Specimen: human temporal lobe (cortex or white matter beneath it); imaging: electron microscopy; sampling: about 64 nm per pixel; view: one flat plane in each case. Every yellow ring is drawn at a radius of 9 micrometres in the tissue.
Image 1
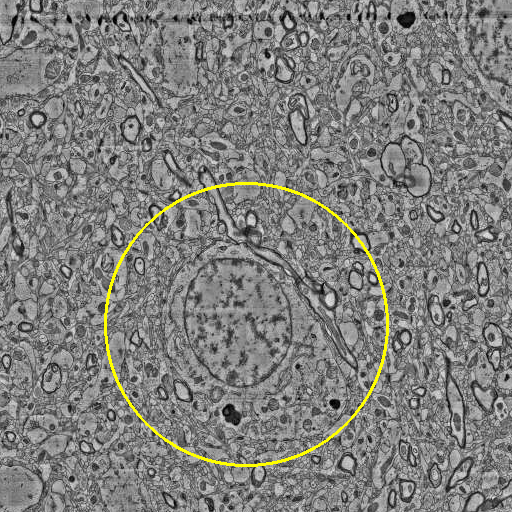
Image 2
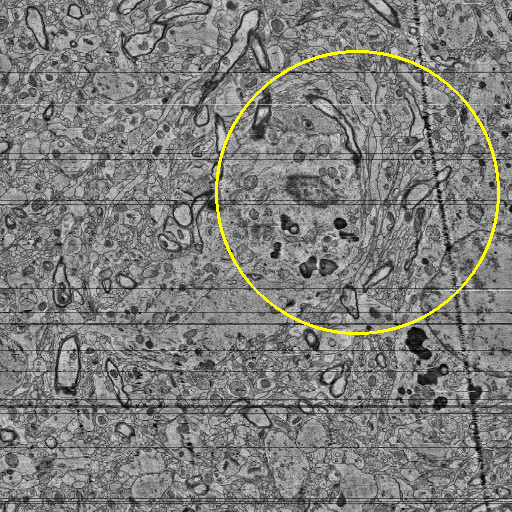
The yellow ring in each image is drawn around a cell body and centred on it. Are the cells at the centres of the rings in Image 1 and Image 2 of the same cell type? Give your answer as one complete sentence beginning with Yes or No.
No, the two cells are of two separate types.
